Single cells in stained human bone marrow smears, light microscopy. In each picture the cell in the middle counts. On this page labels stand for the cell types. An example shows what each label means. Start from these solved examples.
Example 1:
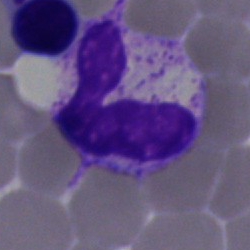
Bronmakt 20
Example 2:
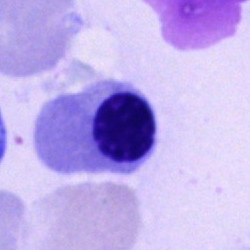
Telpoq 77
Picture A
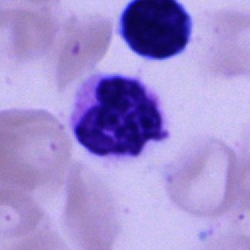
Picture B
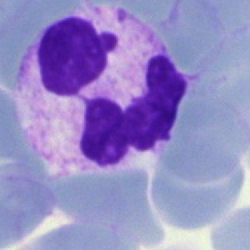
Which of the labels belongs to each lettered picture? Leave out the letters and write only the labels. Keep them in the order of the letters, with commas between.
Bronmakt 20, Bronmakt 20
